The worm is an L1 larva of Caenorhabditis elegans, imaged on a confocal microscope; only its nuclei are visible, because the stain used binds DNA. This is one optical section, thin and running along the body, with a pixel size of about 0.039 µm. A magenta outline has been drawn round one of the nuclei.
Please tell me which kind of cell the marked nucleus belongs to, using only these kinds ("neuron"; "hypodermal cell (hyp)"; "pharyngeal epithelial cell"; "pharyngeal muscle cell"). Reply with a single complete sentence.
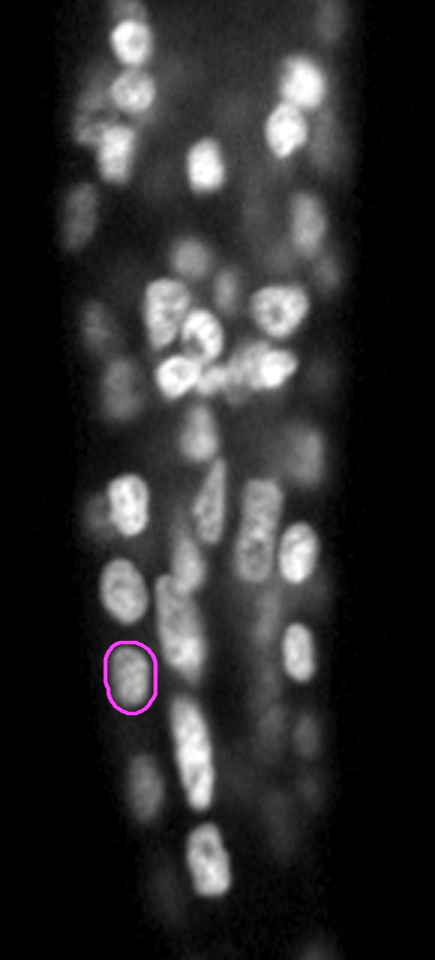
The nucleus comes from a hypodermal cell (hyp).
